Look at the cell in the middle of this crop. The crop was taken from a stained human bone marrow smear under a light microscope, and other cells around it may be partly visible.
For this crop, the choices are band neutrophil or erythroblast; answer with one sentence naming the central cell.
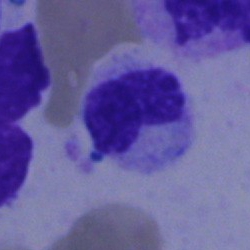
The cell of interest, located centrally, is a band neutrophil.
